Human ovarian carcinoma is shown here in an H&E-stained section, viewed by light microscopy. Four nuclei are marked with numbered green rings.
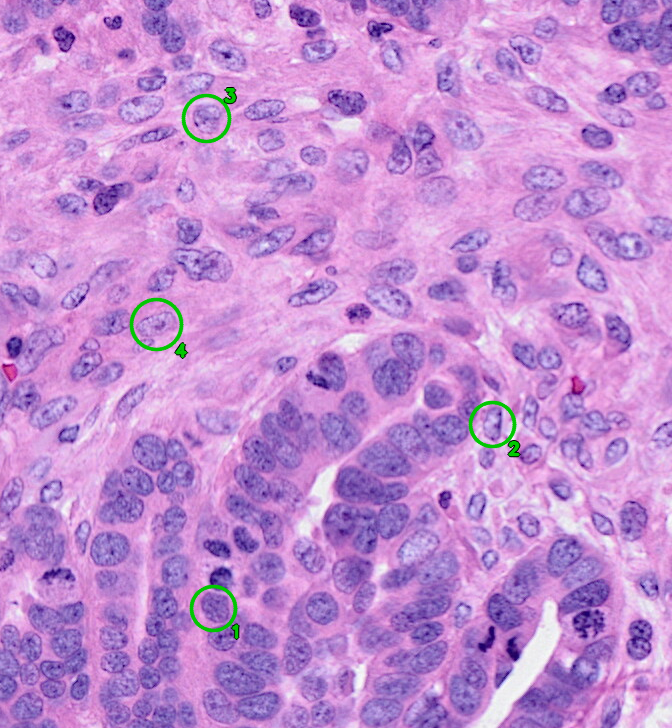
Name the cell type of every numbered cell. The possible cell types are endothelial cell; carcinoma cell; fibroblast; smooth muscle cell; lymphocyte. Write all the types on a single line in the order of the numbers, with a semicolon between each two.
carcinoma cell; fibroblast; fibroblast; fibroblast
